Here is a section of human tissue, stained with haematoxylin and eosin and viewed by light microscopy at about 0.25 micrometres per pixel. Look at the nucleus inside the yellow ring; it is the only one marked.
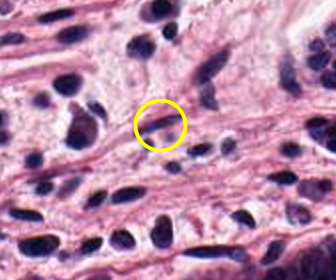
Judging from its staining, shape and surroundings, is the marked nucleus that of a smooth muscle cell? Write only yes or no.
no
